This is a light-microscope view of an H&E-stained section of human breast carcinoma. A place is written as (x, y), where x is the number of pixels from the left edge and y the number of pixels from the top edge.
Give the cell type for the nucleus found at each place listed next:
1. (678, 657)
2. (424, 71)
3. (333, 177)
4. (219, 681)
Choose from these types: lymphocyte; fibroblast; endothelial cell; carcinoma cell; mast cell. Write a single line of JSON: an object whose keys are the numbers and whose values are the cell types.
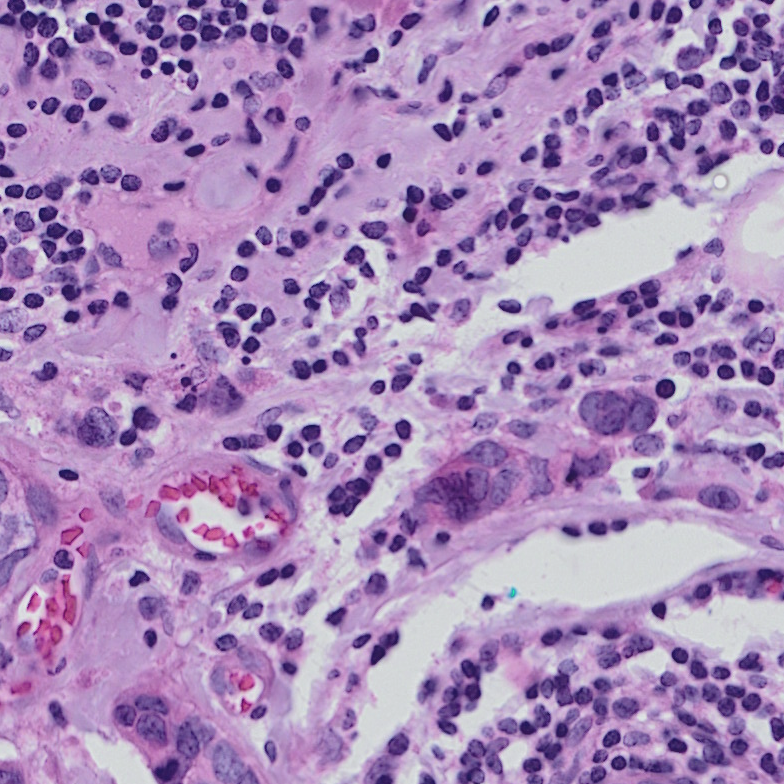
{"1": "lymphocyte", "2": "lymphocyte", "3": "lymphocyte", "4": "endothelial cell"}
